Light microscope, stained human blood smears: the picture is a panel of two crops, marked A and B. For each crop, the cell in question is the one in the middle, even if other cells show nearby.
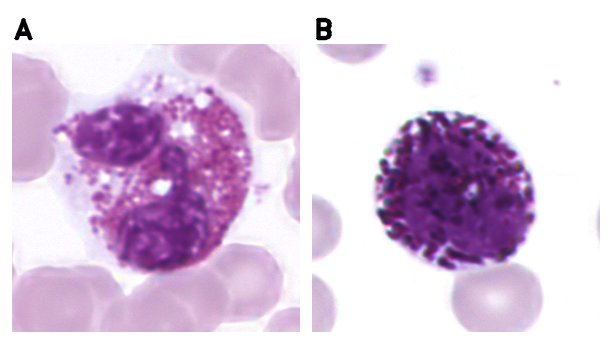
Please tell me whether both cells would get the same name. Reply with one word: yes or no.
no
